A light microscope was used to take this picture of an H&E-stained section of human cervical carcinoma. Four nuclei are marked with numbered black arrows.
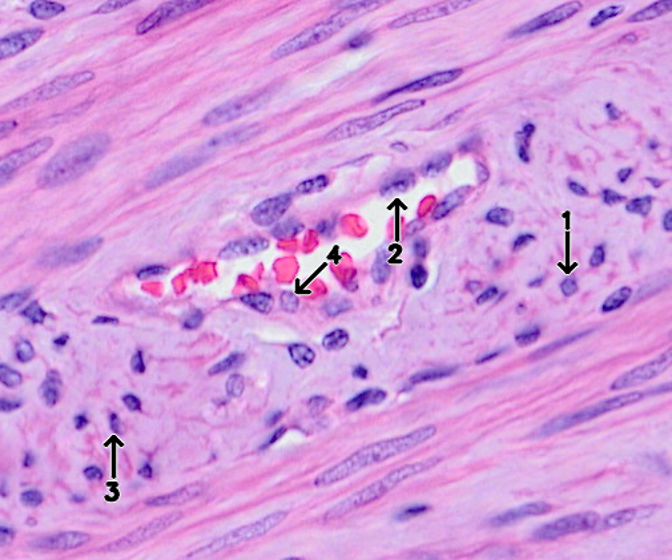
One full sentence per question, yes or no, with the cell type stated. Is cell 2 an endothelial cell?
Yes, in this tissue section, number 2 is an endothelial cell.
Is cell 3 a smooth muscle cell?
Yes, cell number 3 is classified as a smooth muscle cell.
